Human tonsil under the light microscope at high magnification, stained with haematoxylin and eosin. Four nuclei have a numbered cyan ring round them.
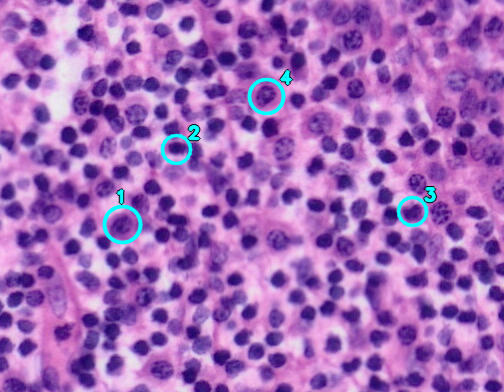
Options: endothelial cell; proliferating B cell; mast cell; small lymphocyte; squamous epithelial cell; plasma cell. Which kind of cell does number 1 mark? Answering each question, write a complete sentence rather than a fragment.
Looking at the numbered marks, cell 1 is a plasma cell.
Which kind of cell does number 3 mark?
The marked nucleus 3 is that of a plasma cell.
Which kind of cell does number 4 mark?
Within this field of view, the cell labelled 4 is a plasma cell.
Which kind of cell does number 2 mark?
Cell 2, as marked in the section, is a small lymphocyte.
